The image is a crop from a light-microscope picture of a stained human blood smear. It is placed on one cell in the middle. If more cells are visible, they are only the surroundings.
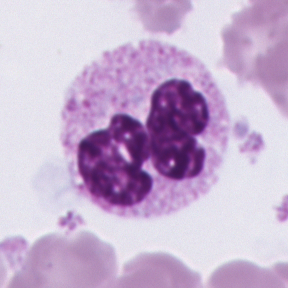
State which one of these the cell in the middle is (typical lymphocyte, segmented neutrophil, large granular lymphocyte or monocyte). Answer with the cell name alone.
segmented neutrophil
